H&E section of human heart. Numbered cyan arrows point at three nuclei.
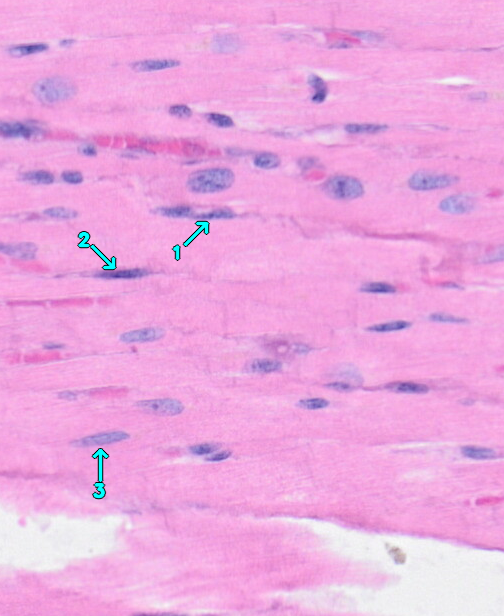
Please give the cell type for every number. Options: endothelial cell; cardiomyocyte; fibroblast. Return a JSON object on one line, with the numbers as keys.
{"1": "fibroblast", "2": "endothelial cell", "3": "cardiomyocyte"}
